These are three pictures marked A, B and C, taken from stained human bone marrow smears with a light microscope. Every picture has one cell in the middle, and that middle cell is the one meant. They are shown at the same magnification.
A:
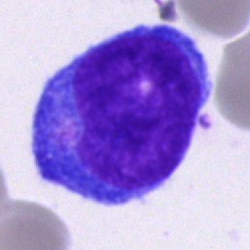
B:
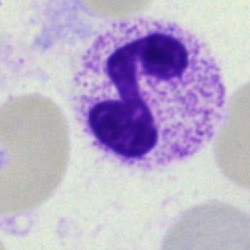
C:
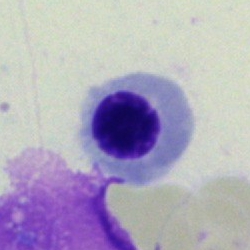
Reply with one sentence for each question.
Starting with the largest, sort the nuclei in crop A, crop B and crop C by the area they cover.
From the largest down, the order is A, B, C.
